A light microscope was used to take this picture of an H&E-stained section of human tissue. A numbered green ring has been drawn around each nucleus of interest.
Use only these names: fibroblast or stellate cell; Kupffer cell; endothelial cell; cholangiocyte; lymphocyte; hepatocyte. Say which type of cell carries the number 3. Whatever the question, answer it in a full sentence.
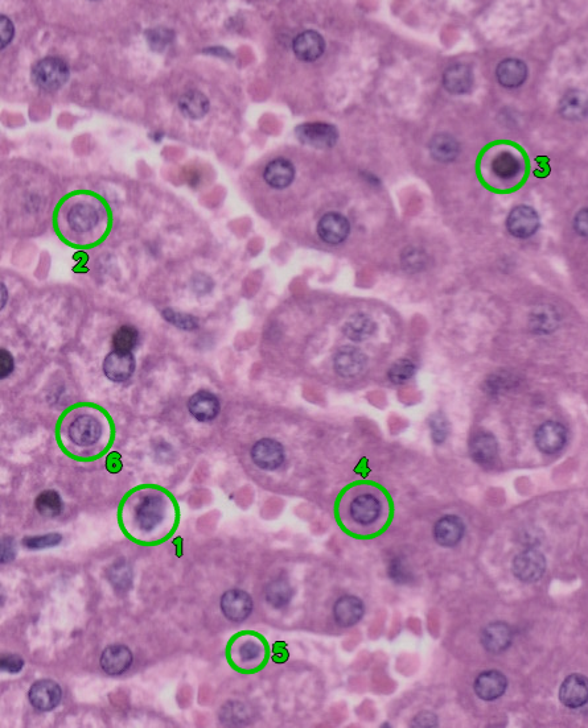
Cell 3, as marked in the section, is a hepatocyte.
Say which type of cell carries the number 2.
Cell 2, as marked in the section, is a hepatocyte.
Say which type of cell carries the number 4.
Number 4 is placed on a hepatocyte here.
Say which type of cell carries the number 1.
The cell pointed out as number 1 is an endothelial cell.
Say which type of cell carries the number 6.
Among the marked cells, number 6 is a hepatocyte.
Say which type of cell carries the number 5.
Cell 5 of the marked set is a lymphocyte.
